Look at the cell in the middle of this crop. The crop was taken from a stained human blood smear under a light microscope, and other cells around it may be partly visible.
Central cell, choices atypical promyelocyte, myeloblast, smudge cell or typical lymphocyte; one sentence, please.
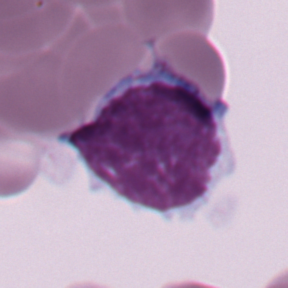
The cell occupying the middle of the crop is a typical lymphocyte.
